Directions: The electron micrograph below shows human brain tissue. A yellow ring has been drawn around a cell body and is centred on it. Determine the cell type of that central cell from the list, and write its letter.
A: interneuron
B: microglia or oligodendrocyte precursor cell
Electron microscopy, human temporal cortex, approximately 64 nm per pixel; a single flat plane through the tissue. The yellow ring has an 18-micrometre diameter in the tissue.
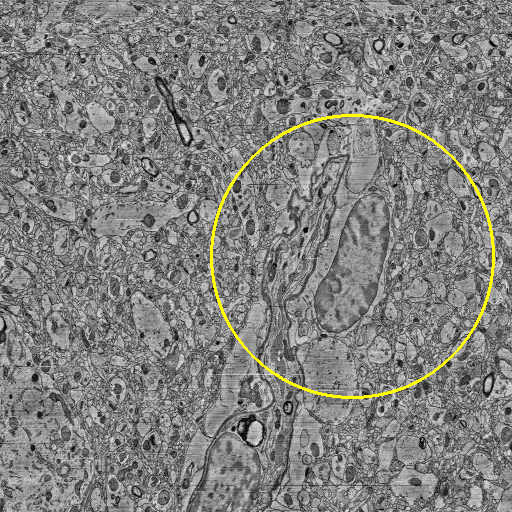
B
